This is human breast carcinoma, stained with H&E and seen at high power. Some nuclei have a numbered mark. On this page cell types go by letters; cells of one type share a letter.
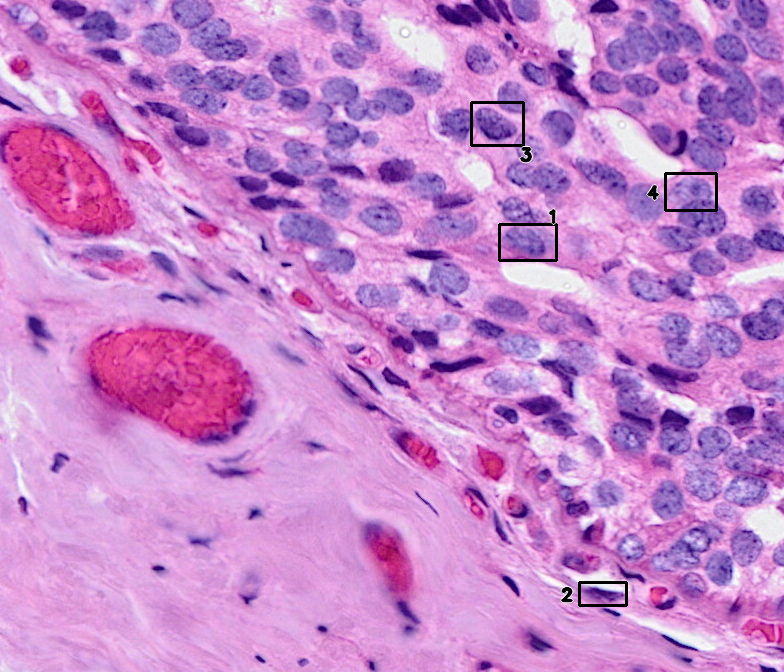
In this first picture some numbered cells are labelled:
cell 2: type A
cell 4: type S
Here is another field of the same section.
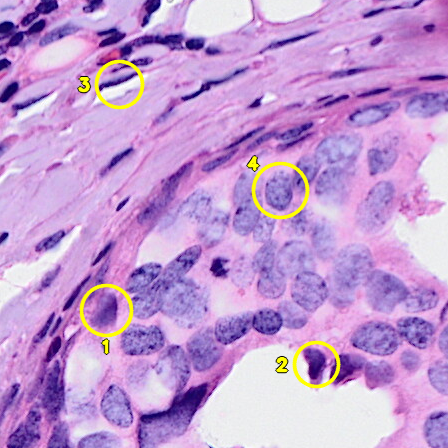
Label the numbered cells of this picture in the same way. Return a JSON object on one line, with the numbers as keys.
{"1": "type S", "2": "type S", "3": "type A", "4": "type S"}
